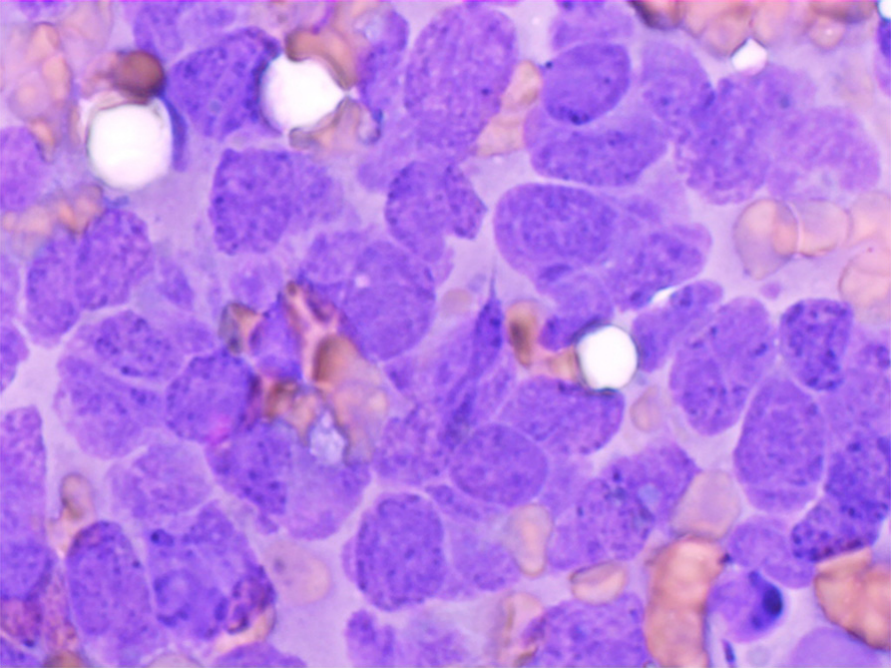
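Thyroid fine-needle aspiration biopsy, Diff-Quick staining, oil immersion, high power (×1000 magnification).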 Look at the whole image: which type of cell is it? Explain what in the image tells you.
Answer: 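Crowded cells whose dark purple nuclei fill almost the whole cell, with only scant pale cytoplasm. Nuclei show coarse, granular, speckled chromatin. Nuclear outlines are irregular and adjacent nuclei press against one another.
Small cell carcinoma cells.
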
